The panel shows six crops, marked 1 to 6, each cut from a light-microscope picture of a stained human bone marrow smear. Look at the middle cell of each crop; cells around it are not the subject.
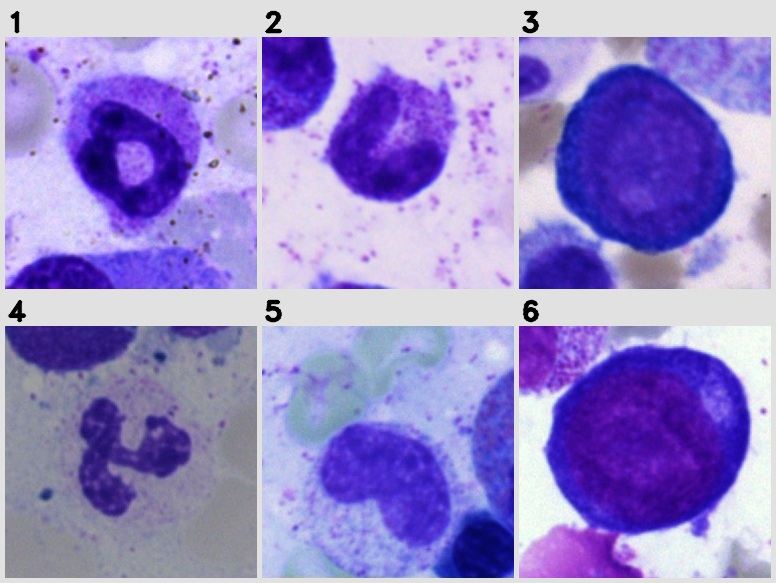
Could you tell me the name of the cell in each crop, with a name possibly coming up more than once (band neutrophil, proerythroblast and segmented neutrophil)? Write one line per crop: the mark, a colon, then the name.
1: band neutrophil
2: band neutrophil
3: proerythroblast
4: segmented neutrophil
5: band neutrophil
6: proerythroblast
